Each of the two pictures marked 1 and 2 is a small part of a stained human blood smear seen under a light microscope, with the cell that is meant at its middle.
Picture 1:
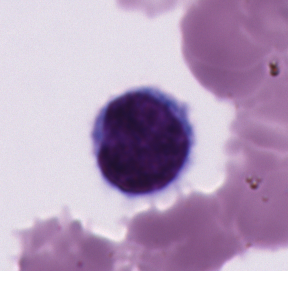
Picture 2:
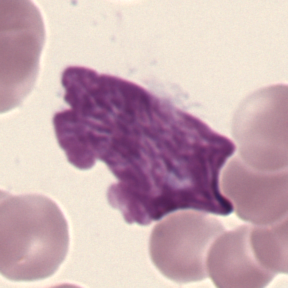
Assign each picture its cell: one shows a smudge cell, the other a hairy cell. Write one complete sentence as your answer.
In picture 1 the cell is a hairy cell; in picture 2, a smudge cell.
